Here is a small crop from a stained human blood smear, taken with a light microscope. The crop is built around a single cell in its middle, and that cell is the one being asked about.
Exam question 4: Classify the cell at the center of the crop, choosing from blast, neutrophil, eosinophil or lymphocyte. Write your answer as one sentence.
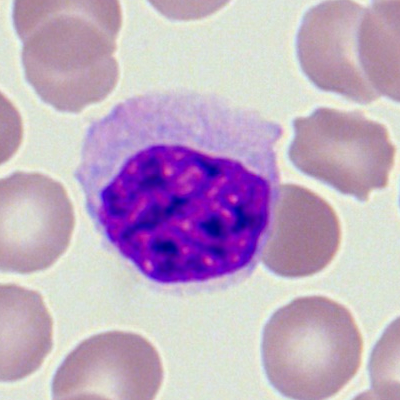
The cell in the exact centre of the crop is a lymphocyte.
